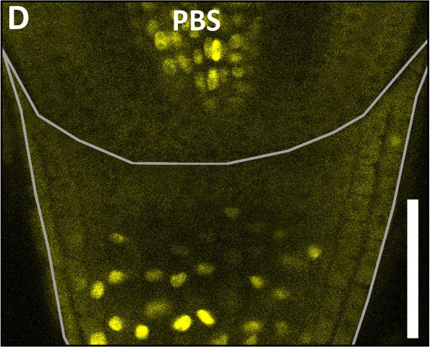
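Above the outline a small cluster of bright round nuclei lies in the centre of the vascular cylinder. Along the outline itself the cells stay dim. Inside the root cap, bright nuclei are scattered through the lower, larger cells.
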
